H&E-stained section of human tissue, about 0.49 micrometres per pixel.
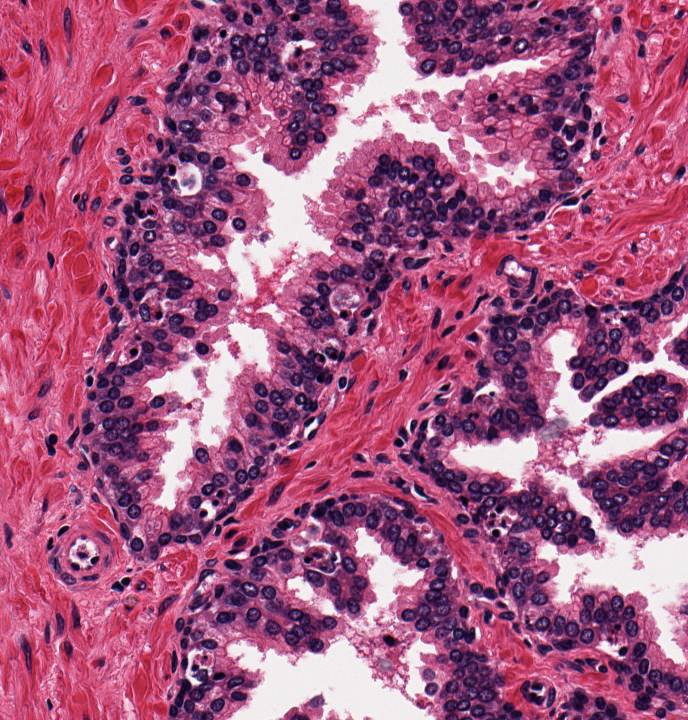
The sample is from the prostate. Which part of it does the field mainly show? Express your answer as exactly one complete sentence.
The tissue component on view in this section is named prostatic gland.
